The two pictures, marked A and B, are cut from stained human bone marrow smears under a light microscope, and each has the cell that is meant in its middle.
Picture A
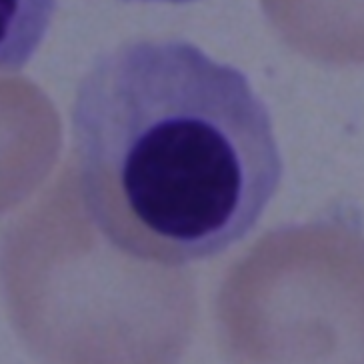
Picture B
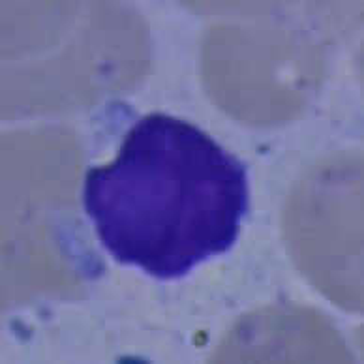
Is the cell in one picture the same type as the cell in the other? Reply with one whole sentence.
No. Picture A shows an erythroblast, but picture B shows a lymphocyte.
